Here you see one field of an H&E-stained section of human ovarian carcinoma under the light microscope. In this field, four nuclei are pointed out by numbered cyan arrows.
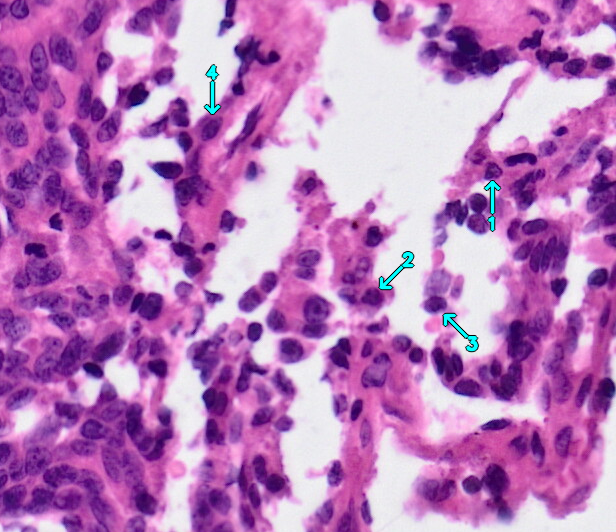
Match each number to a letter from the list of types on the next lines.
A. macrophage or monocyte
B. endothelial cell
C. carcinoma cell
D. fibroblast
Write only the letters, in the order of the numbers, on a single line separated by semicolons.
A; C; C; C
